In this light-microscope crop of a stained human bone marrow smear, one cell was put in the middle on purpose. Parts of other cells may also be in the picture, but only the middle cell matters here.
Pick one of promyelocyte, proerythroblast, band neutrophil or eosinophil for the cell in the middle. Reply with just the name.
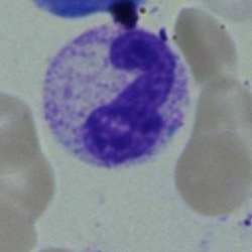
band neutrophil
